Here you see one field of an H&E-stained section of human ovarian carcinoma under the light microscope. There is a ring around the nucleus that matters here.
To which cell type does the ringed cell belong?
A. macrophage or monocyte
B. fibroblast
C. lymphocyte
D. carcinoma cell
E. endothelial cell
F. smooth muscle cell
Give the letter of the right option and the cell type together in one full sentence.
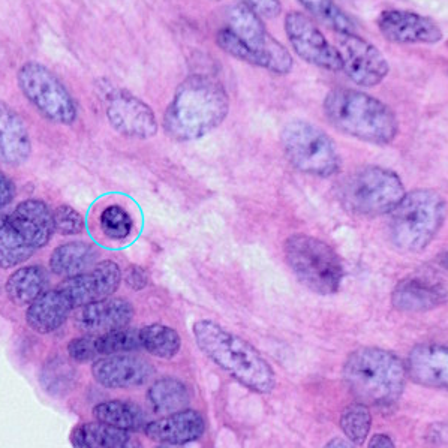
Option C gets it right: the ringed cell is a lymphocyte.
